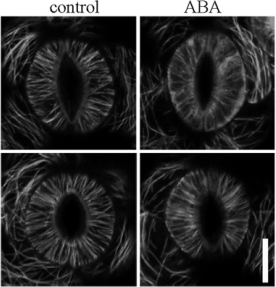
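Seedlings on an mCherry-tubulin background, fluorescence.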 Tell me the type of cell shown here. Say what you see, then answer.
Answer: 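Guard cells. Each image shows a pair of bean-shaped cells. The pair surrounds a central elongated pore.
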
